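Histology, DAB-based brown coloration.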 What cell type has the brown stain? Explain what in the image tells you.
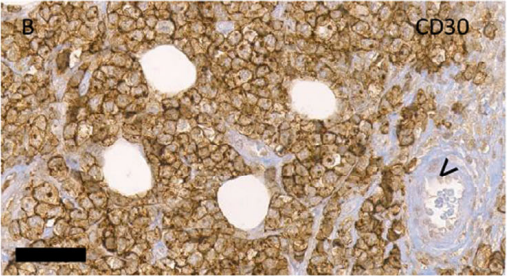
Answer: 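Sheets of large, round cells are outlined by dense brown rims.
Lymphoma cells.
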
